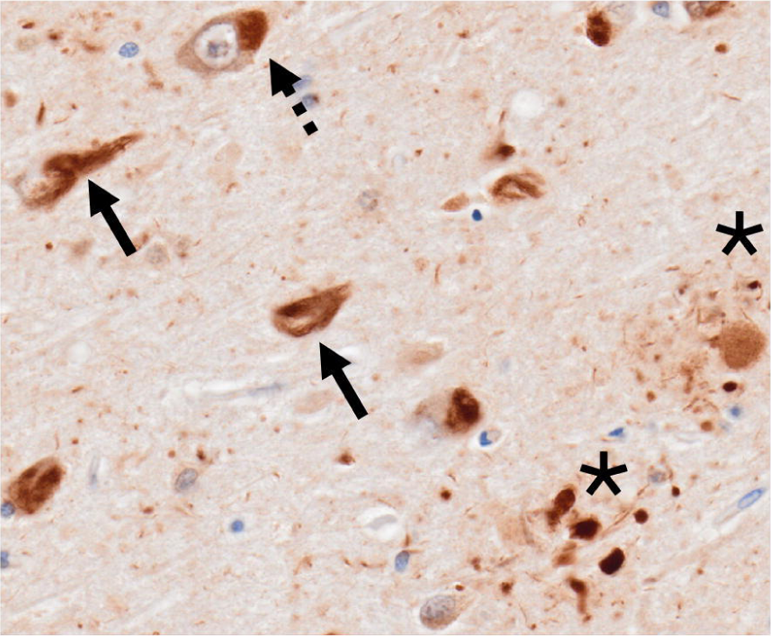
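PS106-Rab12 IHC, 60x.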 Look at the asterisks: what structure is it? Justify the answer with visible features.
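Dystrophic neurites. Clusters of swollen brown dots and short thick processes. They lie in the neuropil, not in cell bodies.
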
